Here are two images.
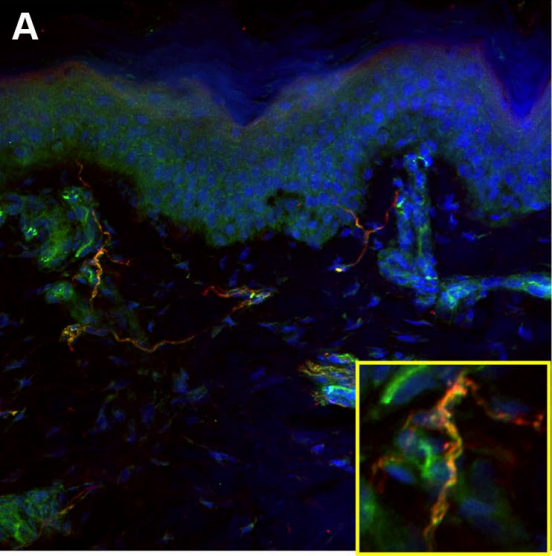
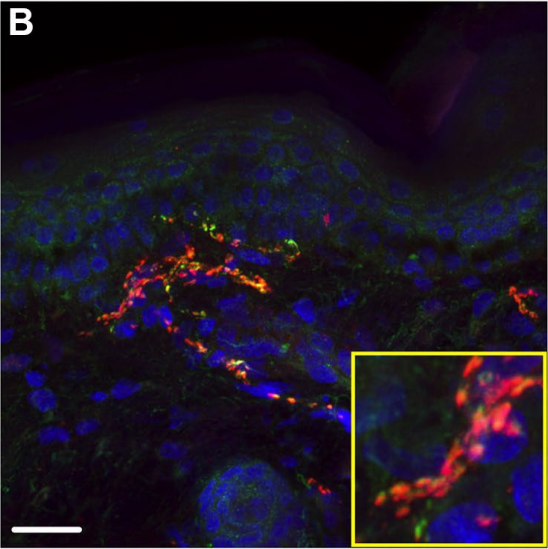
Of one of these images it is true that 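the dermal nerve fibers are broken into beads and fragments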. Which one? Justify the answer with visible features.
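Second image: the fibers are short chains of red and yellow dots and beads. First image: the fibers run as long continuous thin threads.
The second image.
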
